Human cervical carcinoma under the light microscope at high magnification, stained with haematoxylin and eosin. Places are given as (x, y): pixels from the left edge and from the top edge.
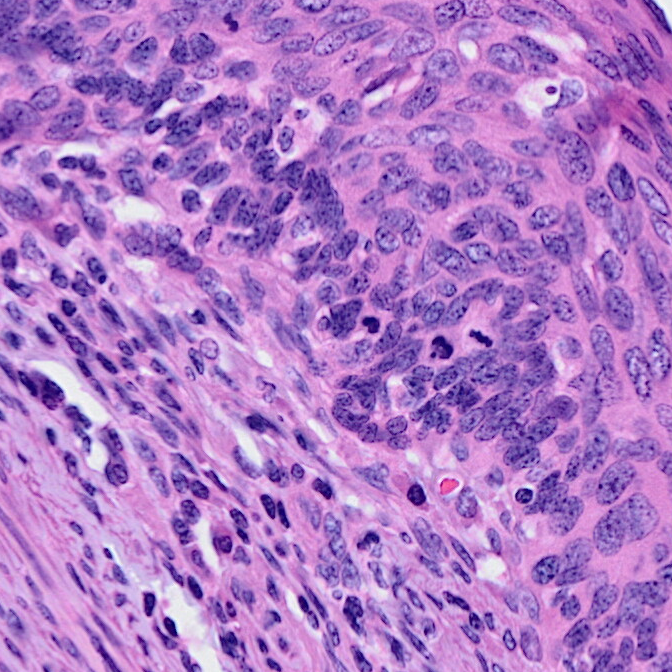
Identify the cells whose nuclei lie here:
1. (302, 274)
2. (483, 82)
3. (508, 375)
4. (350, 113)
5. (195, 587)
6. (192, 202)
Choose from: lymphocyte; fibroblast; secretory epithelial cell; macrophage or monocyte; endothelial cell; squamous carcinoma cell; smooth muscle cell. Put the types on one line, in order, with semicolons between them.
squamous carcinoma cell; squamous carcinoma cell; squamous carcinoma cell; squamous carcinoma cell; lymphocyte; lymphocyte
